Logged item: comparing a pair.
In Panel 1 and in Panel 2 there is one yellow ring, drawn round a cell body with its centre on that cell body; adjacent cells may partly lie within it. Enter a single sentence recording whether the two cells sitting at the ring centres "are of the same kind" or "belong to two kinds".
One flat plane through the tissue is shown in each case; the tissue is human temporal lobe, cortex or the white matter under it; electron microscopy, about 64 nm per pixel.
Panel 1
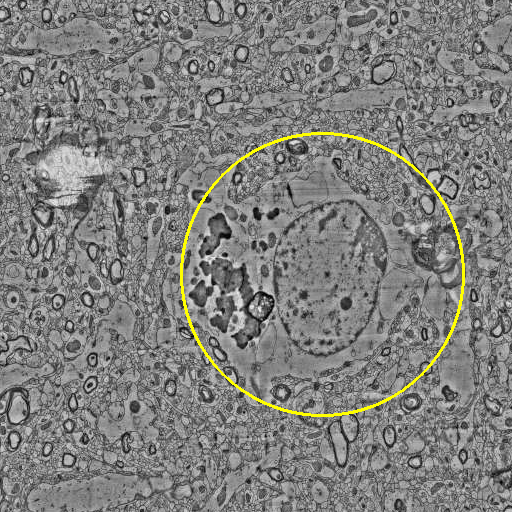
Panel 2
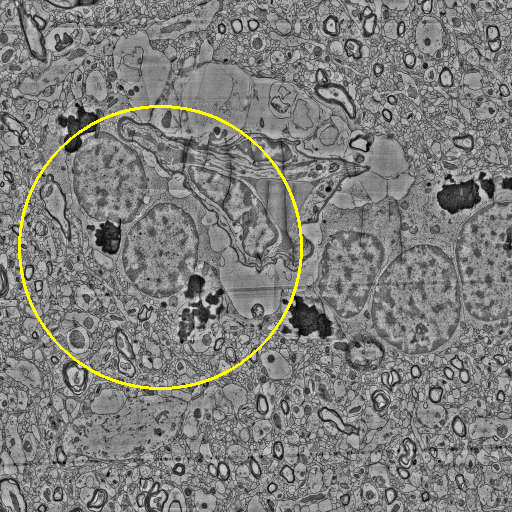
Logged: the cells centred in the rings of Panel 1 and Panel 2 belong to two kinds.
